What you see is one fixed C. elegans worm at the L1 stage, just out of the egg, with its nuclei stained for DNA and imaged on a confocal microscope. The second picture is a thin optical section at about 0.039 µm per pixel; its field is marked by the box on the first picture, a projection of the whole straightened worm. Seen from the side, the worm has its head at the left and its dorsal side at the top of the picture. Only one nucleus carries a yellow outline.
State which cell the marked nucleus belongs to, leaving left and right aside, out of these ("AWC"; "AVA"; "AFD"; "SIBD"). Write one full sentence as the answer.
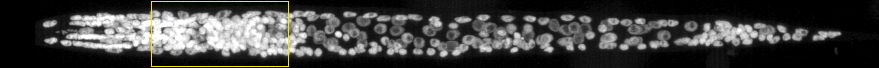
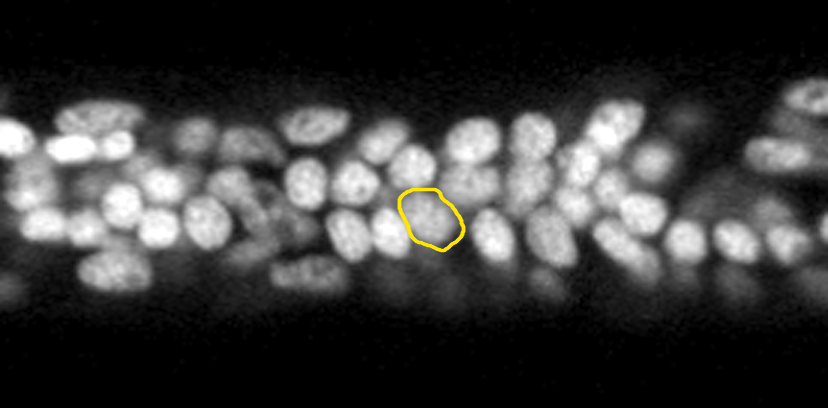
It is the nucleus of AWC, a neuron.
